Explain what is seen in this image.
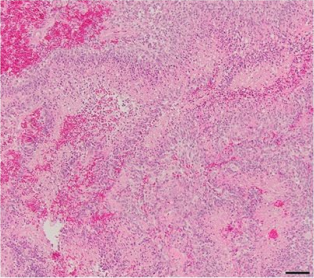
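A densely cellular glial tumour with crowded dark blue nuclei, interrupted by pale pink areas with few intact nuclei and a patch of bright red blood at the upper left. Along the edges of the pale areas the nuclei pack into dense serpiginous bands. These are foci of necrosis surrounded by pseudopalisading tumour cells.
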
